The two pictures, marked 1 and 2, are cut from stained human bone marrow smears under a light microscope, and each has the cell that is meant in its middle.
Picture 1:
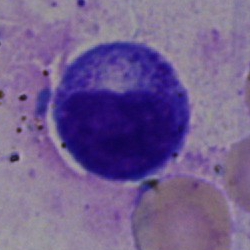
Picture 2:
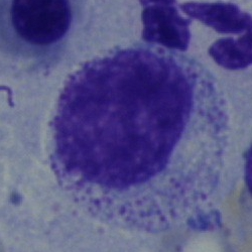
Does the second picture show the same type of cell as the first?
yes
